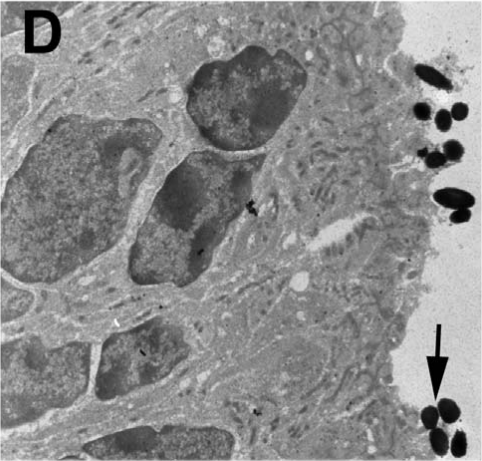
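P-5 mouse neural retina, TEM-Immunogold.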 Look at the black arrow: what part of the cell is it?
pigment granules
